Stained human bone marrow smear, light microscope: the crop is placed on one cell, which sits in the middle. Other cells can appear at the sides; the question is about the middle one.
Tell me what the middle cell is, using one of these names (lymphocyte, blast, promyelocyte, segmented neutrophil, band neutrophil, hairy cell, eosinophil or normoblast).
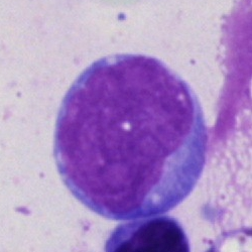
blast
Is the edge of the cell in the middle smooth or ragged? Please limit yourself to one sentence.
You can see a smooth boundary, with no projections sticking out.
